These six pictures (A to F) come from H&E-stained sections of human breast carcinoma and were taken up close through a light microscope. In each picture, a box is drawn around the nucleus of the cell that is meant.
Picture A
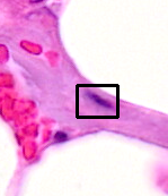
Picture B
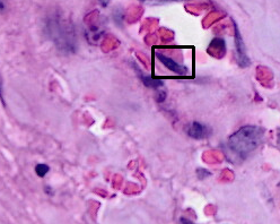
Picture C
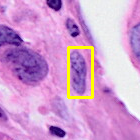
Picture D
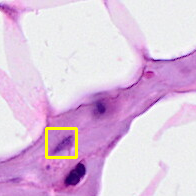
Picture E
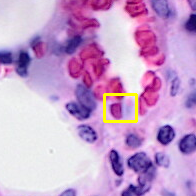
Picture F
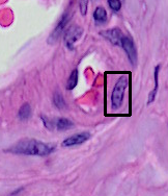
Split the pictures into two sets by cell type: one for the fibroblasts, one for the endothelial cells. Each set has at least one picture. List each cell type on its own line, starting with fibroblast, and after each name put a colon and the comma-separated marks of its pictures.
fibroblast: A, D
endothelial cell: B, C, E, F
